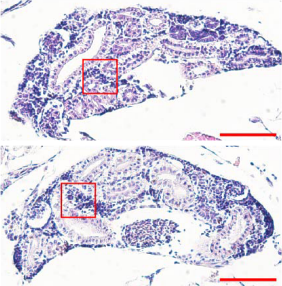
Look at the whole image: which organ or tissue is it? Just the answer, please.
Kidney.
